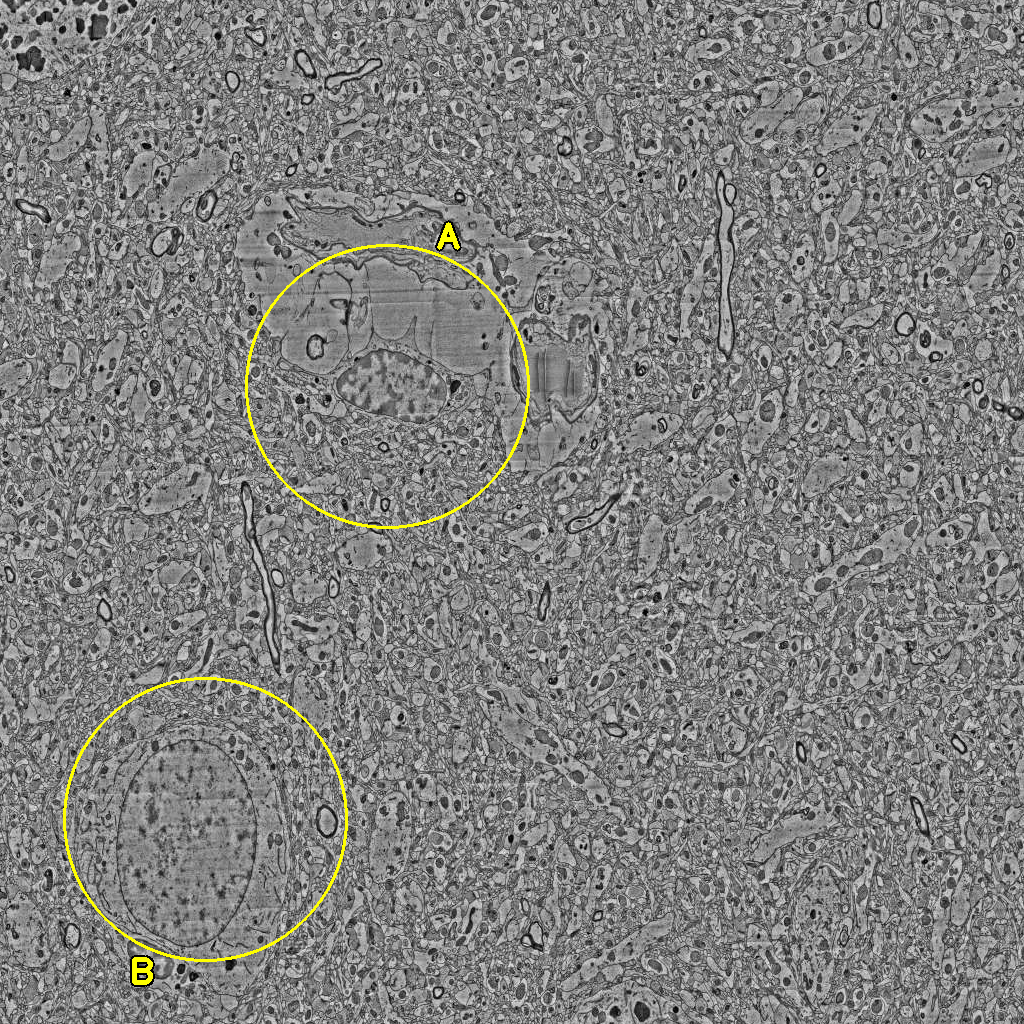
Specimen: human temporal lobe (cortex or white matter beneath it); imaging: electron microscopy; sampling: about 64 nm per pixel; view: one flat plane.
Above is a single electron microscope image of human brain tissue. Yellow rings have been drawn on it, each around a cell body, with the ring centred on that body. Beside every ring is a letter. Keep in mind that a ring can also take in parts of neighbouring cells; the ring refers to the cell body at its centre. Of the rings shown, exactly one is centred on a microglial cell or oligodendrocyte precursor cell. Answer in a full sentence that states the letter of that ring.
The cell at the centre of ring A is the one asked for.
